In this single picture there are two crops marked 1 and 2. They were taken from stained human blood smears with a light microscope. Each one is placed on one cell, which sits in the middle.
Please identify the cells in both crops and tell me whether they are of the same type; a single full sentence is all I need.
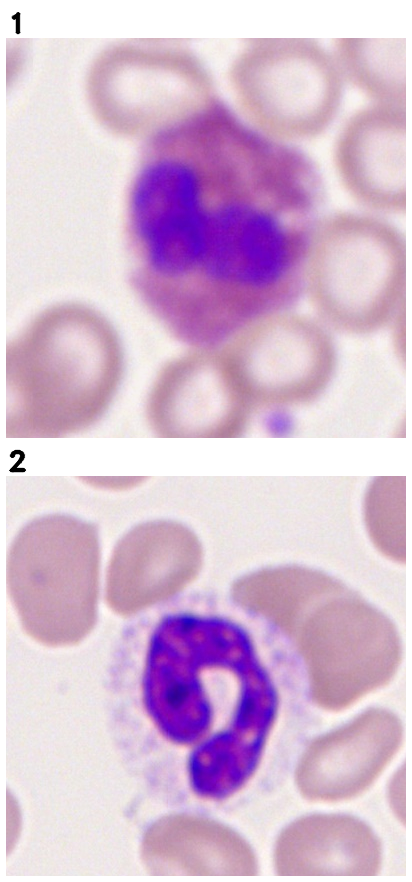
No, in this case crop 1 shows an eosinophil, and crop 2 shows a band neutrophil.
